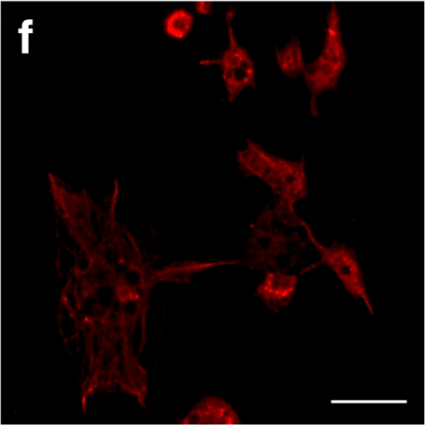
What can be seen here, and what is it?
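Several cells are broadly spread and flattened, and within them fine red filaments run as a meshwork through the cytoplasm. Some cells send out long, thin processes that reach toward neighbouring cells, while a few others remain small and rounded with bright, dense red staining. In many cells a dark round space in the middle marks where the nucleus lies, unstained by the red label.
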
